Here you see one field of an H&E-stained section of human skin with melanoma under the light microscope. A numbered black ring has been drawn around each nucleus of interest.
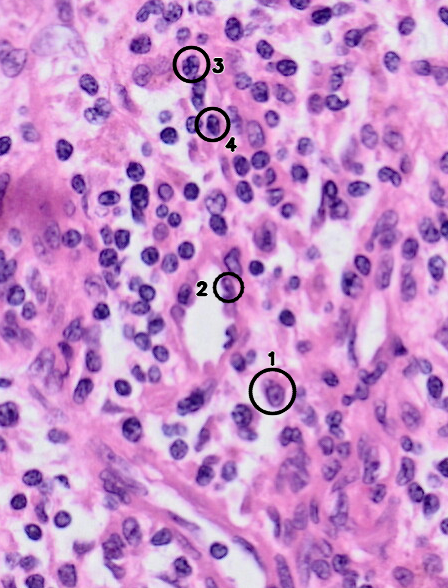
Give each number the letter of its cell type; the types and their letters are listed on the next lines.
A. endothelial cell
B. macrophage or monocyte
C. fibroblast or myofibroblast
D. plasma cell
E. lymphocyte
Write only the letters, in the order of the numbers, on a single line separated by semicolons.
B; A; E; E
